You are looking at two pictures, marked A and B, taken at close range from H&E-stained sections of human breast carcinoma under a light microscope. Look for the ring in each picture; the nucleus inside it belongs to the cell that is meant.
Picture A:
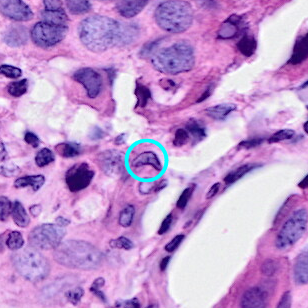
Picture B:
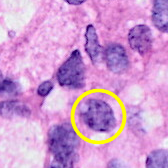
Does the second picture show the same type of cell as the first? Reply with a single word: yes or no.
no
